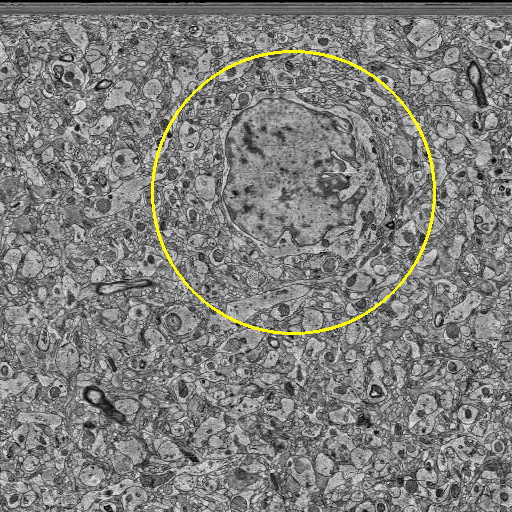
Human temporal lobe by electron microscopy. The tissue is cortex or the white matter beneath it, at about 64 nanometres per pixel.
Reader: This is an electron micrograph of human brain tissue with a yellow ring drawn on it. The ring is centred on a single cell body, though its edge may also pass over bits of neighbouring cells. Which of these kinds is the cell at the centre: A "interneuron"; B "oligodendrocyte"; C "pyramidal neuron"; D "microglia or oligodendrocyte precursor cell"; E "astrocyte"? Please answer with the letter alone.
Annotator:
D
